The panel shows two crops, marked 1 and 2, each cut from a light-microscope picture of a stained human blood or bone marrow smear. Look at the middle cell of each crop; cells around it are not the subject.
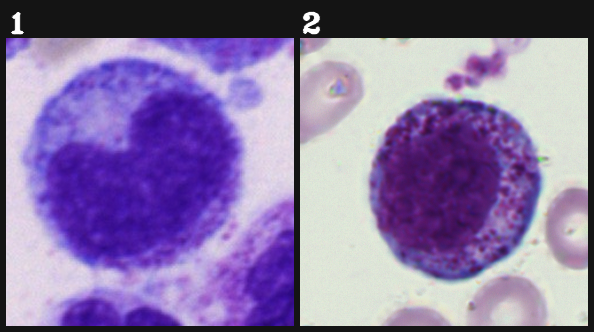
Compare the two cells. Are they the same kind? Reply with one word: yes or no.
yes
